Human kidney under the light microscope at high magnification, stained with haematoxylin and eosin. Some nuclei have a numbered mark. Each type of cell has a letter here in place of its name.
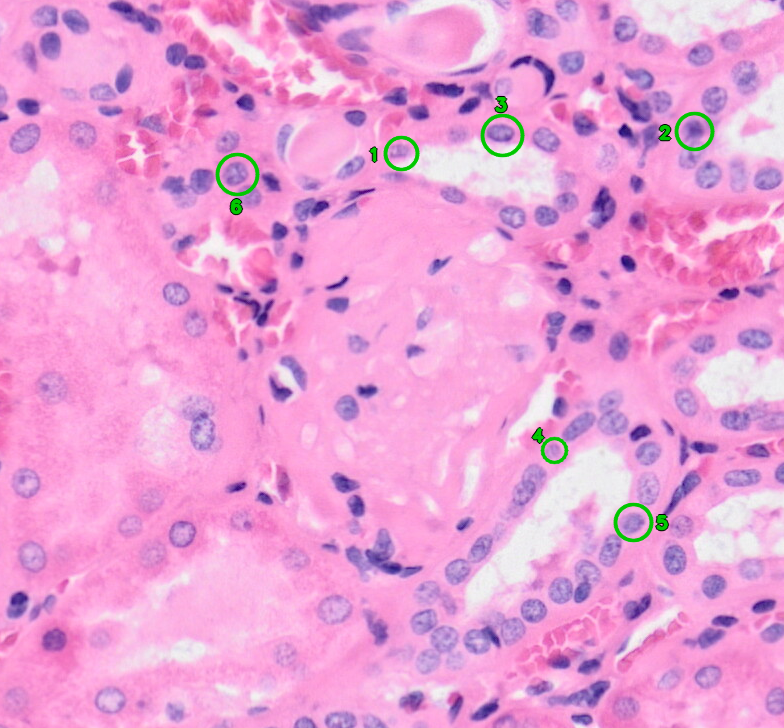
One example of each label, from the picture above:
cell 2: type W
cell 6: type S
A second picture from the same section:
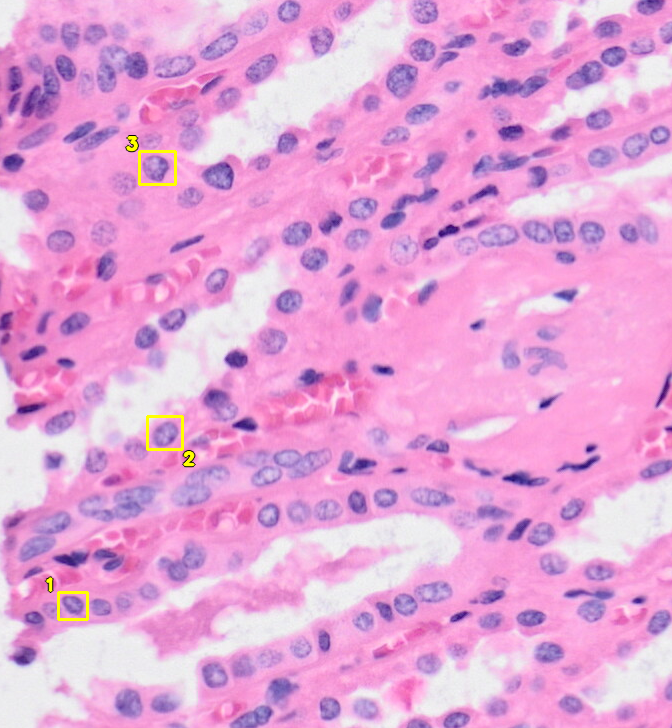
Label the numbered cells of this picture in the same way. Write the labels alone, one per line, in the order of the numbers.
type W
type S
type S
